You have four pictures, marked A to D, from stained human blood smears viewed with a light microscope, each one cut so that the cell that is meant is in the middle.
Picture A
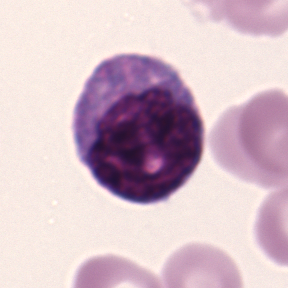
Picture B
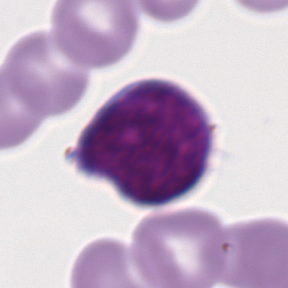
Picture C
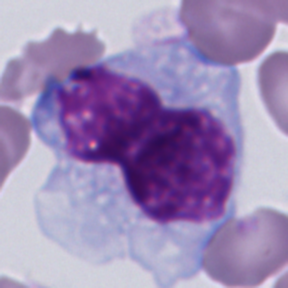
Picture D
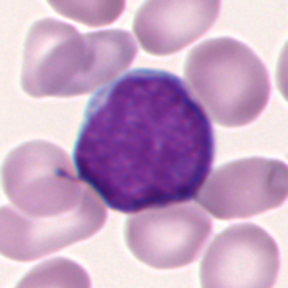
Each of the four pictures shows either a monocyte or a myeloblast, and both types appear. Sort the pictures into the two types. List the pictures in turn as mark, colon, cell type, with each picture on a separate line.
A: monocyte
B: myeloblast
C: monocyte
D: myeloblast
